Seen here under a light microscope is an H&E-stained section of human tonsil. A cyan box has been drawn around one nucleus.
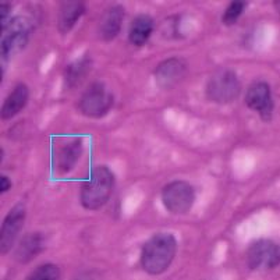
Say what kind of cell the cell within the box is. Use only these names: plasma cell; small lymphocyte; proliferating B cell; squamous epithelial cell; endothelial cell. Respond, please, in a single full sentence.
On this particular slide, the cell within the box is a squamous epithelial cell.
